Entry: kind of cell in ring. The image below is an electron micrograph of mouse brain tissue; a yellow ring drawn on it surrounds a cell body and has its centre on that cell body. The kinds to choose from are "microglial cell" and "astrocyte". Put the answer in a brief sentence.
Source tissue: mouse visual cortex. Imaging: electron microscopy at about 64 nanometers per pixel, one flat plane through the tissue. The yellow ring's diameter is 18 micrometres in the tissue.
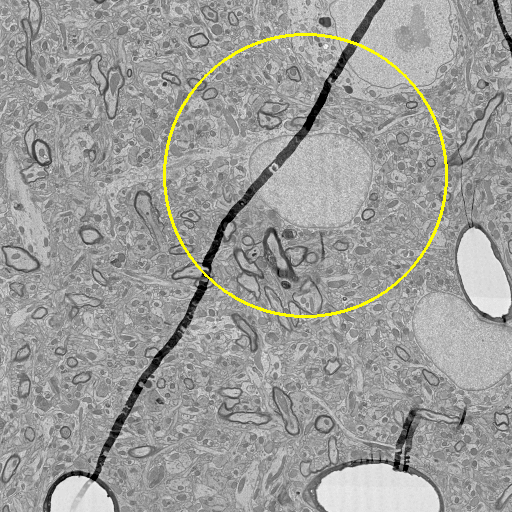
The ring has been drawn around an astrocyte.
